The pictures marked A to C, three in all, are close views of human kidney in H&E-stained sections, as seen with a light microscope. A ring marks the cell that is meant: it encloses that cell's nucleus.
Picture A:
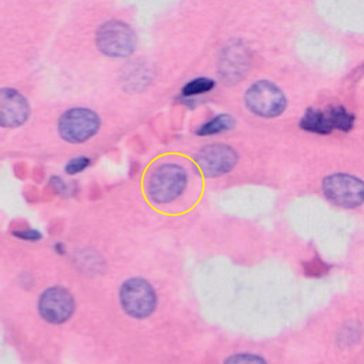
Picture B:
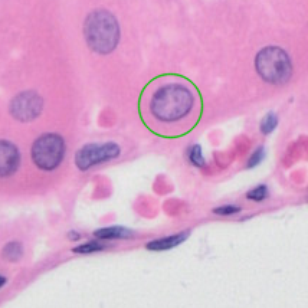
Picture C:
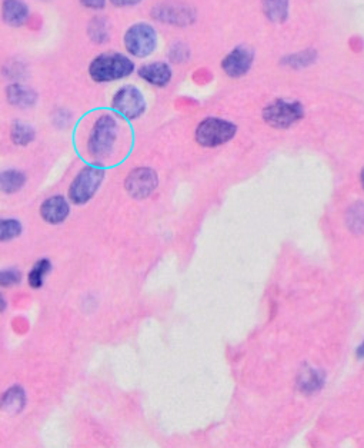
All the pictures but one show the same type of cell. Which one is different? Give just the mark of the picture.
C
